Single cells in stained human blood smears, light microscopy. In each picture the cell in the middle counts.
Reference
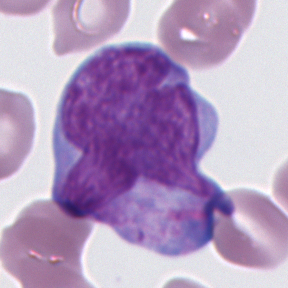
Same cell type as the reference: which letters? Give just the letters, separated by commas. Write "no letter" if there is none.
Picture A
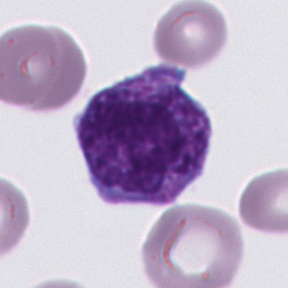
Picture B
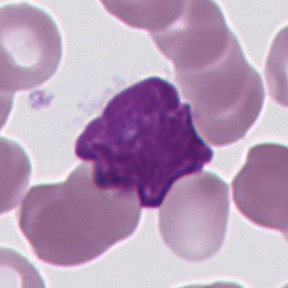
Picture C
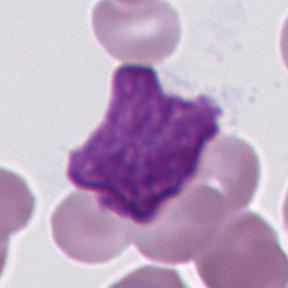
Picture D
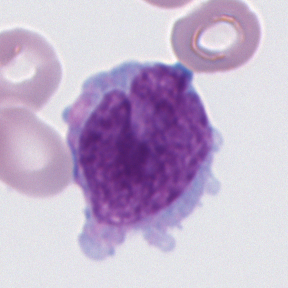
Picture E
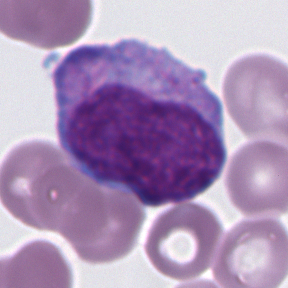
A, D, E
